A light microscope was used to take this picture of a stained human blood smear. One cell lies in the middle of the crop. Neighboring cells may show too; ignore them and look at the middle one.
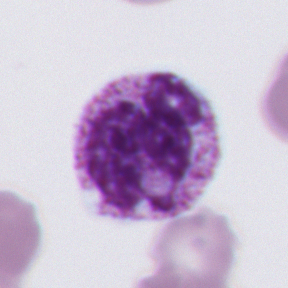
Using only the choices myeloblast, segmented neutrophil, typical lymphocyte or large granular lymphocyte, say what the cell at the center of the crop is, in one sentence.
The cell found in the middle of this crop is a segmented neutrophil.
